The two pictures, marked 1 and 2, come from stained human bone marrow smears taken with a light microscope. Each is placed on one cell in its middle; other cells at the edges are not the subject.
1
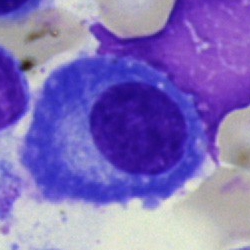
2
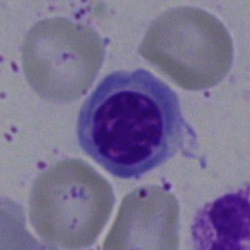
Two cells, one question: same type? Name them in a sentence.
No, a plasma cell occupies the middle of crop 1, and an erythroblast the middle of crop 2.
